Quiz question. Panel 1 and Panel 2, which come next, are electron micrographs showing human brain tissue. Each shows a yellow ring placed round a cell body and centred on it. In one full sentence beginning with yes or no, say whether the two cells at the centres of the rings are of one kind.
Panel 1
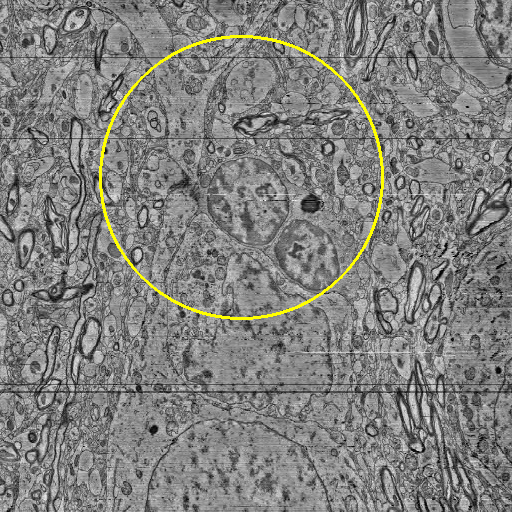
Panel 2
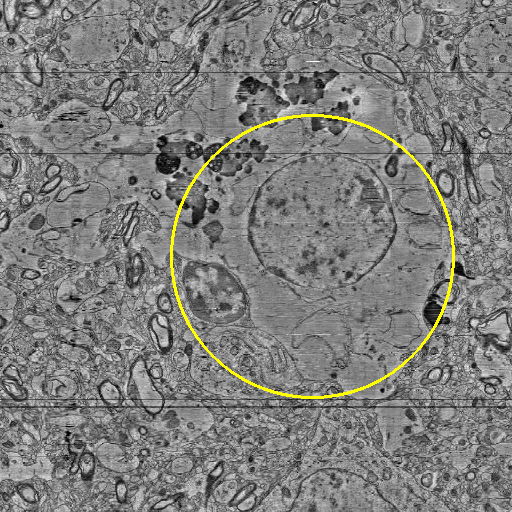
No, Panel 1 and Panel 2 show two kinds of cell at the centre of the ring.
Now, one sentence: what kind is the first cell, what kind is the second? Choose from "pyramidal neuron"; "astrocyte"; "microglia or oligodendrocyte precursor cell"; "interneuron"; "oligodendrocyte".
The first picture has an oligodendrocyte at its ring centre, and the second has an astrocyte.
